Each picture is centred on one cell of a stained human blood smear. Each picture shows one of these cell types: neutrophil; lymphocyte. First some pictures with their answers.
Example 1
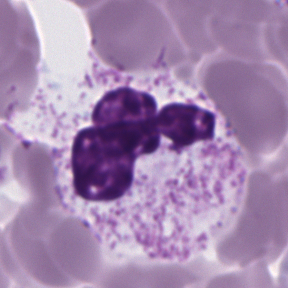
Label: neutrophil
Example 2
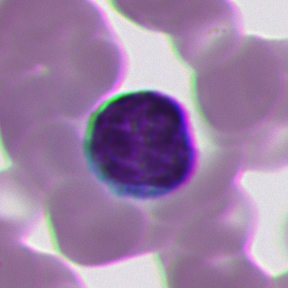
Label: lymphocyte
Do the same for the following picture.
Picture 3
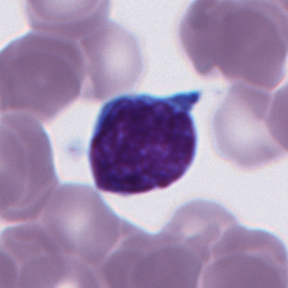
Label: lymphocyte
